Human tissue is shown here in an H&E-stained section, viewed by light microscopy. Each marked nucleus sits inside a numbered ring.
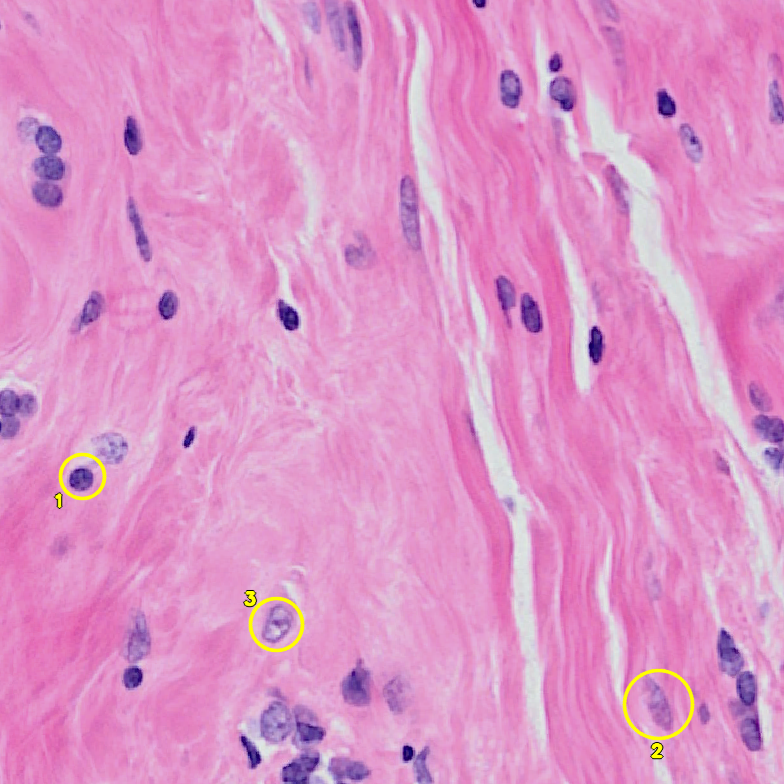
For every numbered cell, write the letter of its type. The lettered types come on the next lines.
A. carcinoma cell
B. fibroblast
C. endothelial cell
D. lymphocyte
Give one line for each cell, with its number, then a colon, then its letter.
1: D
2: B
3: B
